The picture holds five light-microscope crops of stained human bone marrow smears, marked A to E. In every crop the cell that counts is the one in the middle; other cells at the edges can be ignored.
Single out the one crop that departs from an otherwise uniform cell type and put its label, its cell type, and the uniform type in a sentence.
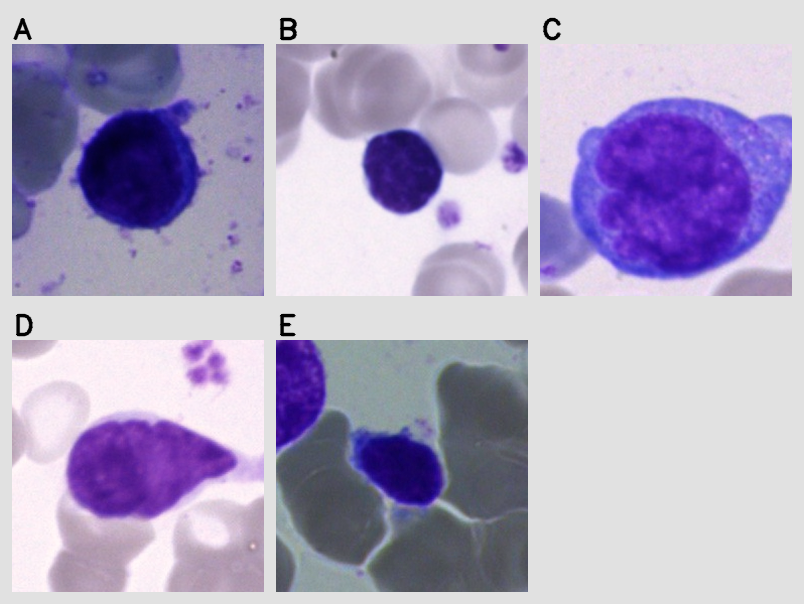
A different cell type, a blast, occupies crop C; the other crops show lymphocytes.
